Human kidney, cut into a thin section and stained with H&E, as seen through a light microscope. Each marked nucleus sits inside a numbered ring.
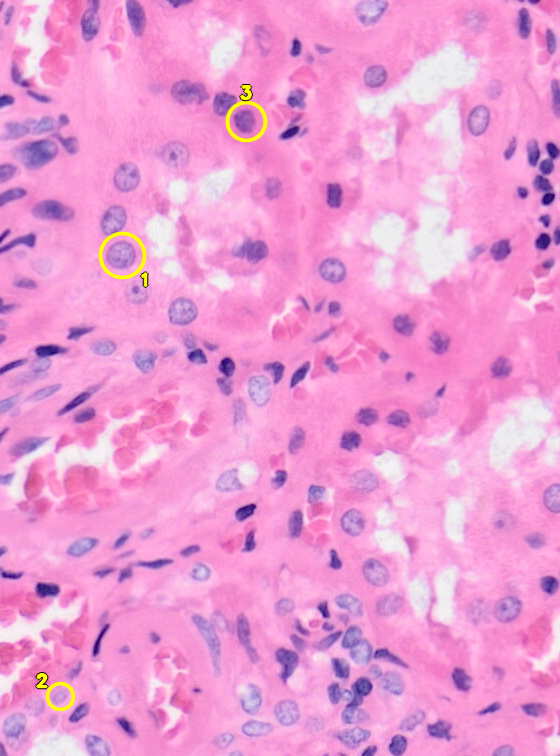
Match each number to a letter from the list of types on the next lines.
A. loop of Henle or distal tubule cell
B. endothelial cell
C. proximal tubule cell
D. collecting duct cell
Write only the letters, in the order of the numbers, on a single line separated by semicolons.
C; D; C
